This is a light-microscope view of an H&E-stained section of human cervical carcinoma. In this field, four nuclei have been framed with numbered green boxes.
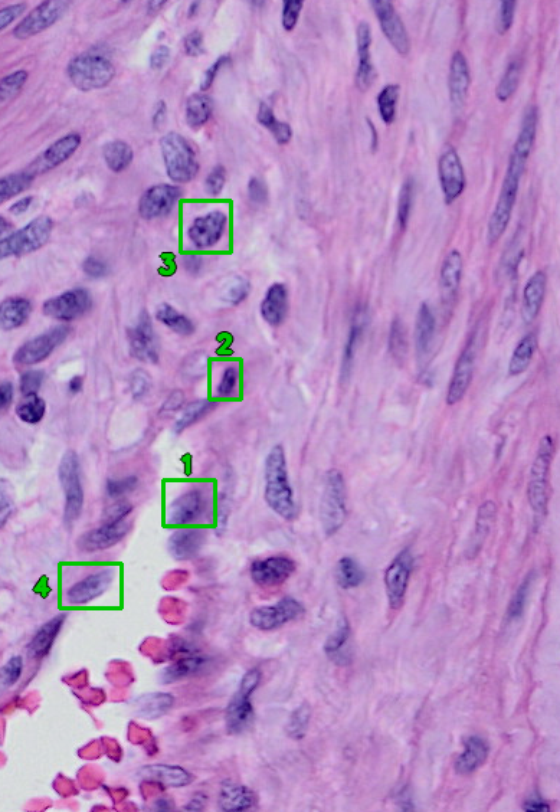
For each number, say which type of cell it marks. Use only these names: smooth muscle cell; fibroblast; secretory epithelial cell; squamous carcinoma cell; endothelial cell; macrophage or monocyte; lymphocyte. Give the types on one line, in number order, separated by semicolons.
endothelial cell; endothelial cell; lymphocyte; endothelial cell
